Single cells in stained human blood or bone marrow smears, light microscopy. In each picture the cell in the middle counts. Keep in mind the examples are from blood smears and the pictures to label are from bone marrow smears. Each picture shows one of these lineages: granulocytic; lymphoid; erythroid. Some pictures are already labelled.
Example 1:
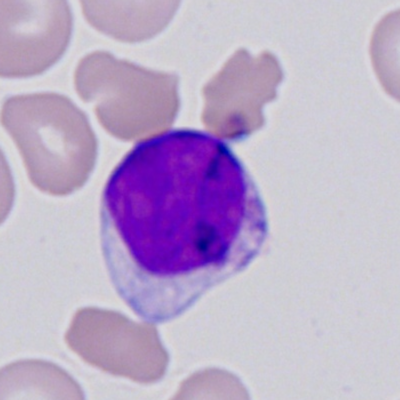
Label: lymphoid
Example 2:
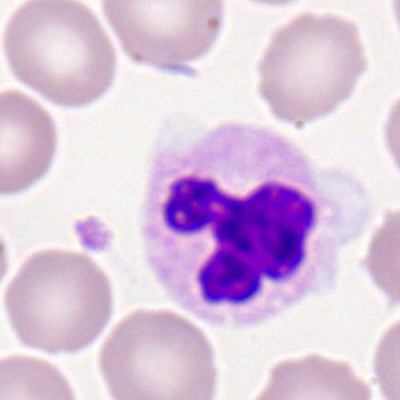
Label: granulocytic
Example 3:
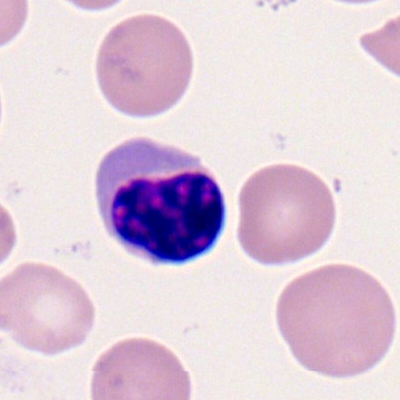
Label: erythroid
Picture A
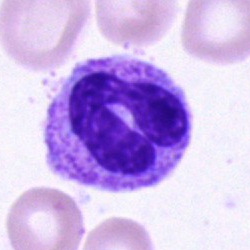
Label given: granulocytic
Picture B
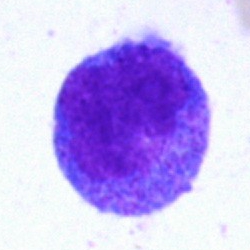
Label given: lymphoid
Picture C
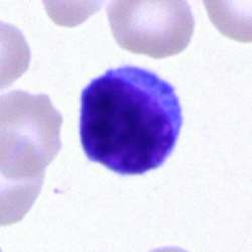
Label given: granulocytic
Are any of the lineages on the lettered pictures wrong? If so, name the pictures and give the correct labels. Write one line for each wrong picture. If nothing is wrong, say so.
B: change lymphoid to granulocytic
C: change granulocytic to lymphoid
